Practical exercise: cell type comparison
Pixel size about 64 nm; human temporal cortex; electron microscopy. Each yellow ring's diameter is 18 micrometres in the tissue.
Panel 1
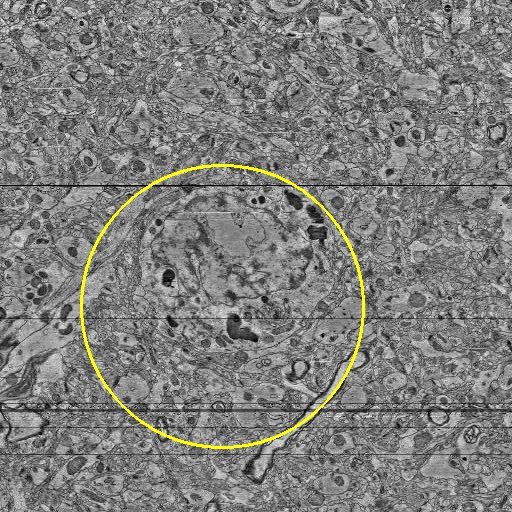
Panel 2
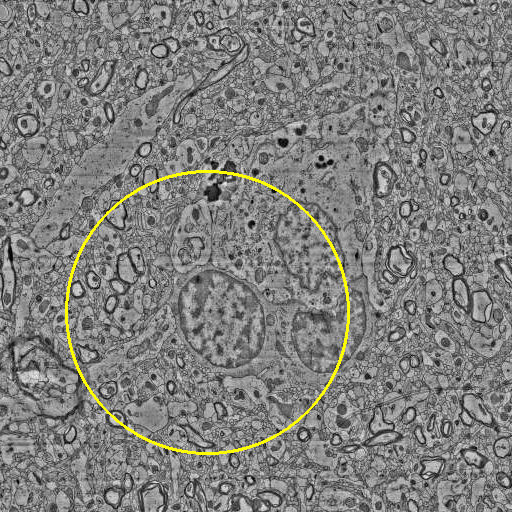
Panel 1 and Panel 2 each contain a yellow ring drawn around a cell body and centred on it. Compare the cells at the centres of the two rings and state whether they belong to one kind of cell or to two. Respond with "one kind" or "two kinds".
two kinds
